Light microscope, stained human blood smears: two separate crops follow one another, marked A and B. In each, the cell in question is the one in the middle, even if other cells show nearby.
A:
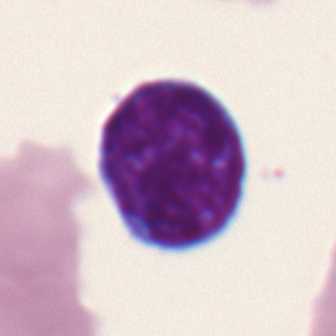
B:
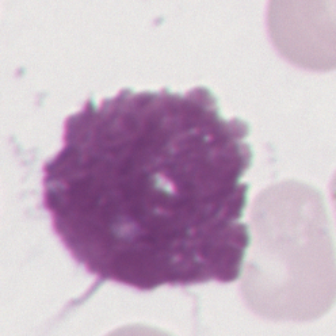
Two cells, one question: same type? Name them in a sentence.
No, crop A corresponds to a typical lymphocyte, while crop B corresponds to a smudge cell.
